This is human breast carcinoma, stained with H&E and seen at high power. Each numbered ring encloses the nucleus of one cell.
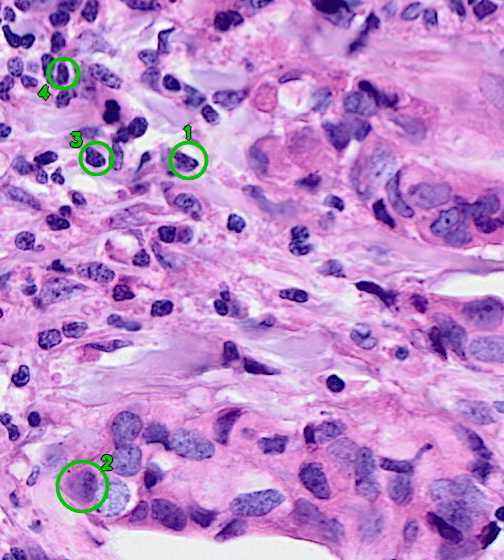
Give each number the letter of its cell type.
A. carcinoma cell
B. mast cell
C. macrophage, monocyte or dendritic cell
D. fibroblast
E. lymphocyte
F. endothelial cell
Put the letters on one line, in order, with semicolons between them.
E; A; E; E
